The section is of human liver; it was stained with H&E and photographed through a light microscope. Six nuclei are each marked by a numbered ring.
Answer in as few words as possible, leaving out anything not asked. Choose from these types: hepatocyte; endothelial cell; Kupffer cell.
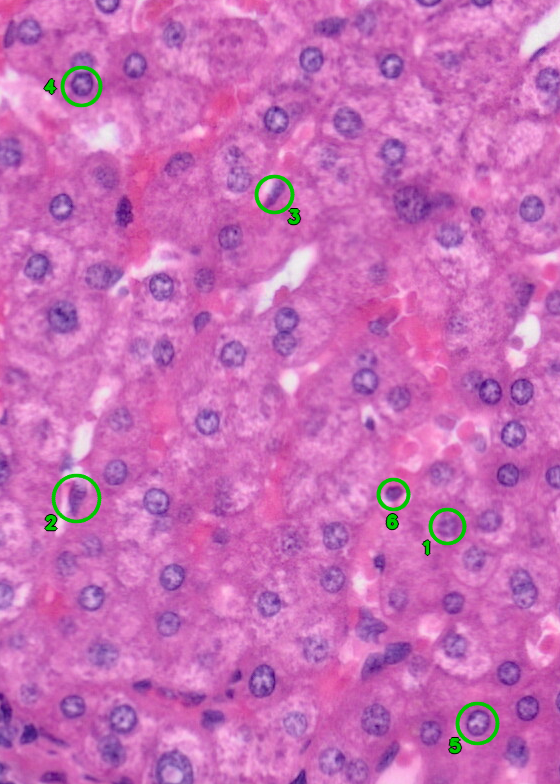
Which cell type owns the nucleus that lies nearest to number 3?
hepatocyte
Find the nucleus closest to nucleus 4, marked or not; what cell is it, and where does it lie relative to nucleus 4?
a hepatocyte; above nucleus 4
